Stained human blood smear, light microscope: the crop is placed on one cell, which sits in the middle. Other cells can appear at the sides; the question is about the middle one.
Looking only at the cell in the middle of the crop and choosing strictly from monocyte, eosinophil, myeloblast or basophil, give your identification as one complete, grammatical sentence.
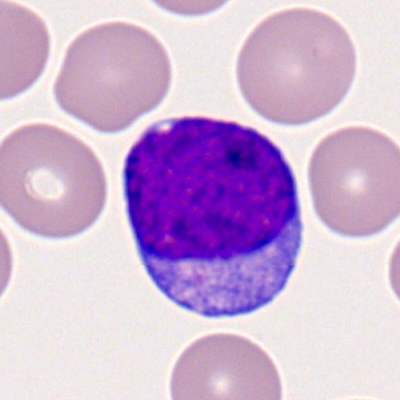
The cell in the middle of the field of view is a myeloblast.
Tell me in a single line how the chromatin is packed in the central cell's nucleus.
If you check the nucleus, you will find the chromatin coarsely clumped.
